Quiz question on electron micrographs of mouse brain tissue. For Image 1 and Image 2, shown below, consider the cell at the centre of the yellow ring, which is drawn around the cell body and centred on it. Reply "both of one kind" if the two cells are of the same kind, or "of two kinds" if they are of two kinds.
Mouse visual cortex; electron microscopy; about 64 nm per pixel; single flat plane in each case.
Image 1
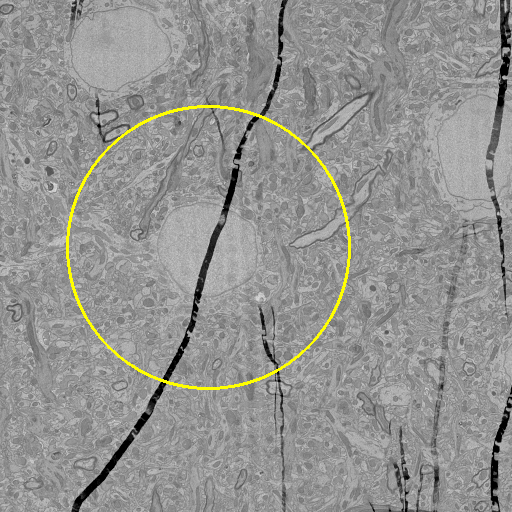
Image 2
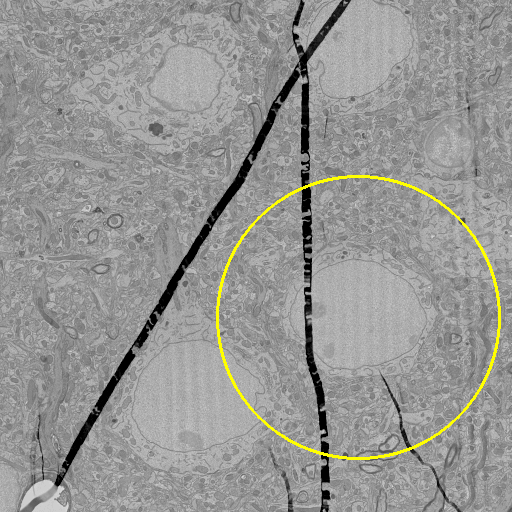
of two kinds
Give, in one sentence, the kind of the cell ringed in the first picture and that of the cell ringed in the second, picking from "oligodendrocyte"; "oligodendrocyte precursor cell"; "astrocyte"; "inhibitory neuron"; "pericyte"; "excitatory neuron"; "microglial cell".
For the first picture it is an astrocyte; for the second, an excitatory neuron.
